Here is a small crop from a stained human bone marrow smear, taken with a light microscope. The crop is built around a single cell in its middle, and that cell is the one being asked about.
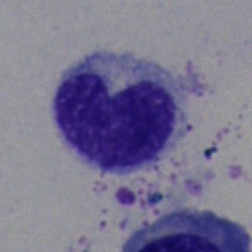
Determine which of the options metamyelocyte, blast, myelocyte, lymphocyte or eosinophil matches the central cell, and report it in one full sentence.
This crop is built around a metamyelocyte at its centre.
